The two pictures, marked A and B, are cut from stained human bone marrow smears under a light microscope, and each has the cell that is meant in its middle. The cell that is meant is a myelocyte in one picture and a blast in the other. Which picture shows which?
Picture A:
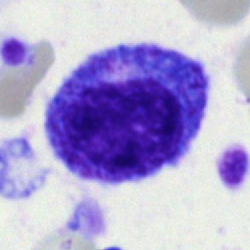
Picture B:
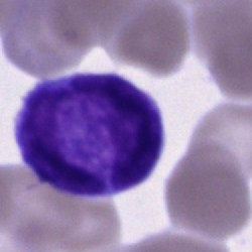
A: myelocyte
B: blast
